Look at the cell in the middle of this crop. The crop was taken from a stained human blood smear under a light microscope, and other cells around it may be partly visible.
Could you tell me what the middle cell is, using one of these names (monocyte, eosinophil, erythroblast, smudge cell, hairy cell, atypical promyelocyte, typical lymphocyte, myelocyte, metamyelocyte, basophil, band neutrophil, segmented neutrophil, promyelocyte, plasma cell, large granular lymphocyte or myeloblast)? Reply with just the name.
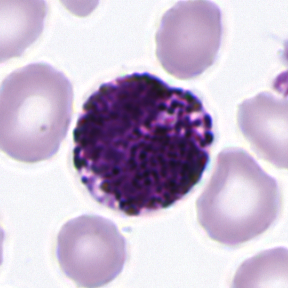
basophil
